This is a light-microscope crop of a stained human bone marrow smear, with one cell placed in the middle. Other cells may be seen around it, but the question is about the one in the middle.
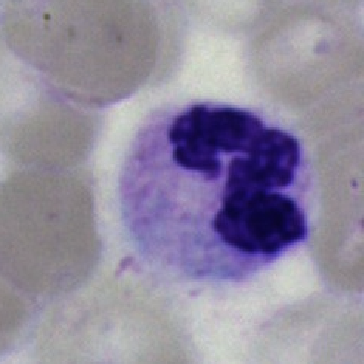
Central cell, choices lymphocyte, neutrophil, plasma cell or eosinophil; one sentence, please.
The middle of this crop holds a neutrophil.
